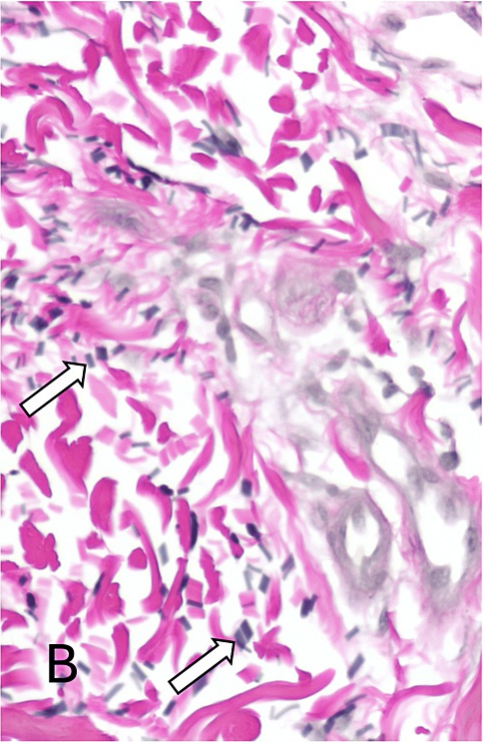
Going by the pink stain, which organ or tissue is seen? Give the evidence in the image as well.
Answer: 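Wavy, thick pink bundles fill much of the field. The pink bundles are cut at various angles and are without nuclei. That points to this answer: collagen.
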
